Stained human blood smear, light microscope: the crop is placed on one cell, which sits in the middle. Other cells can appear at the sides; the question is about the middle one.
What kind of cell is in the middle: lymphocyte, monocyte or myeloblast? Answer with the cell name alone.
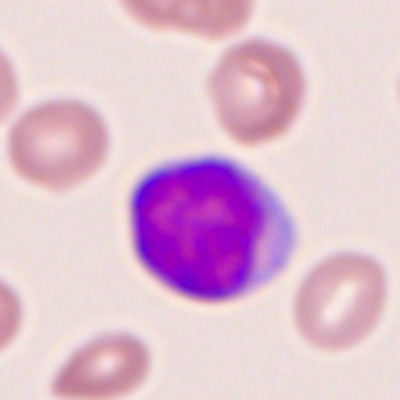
lymphocyte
